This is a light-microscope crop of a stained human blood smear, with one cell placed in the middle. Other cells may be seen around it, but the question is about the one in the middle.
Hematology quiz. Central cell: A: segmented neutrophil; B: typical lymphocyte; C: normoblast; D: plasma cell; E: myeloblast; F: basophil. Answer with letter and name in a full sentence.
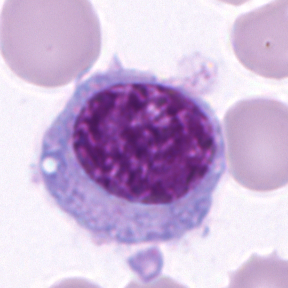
Option D is the keyed answer: the cell in the middle is a plasma cell.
